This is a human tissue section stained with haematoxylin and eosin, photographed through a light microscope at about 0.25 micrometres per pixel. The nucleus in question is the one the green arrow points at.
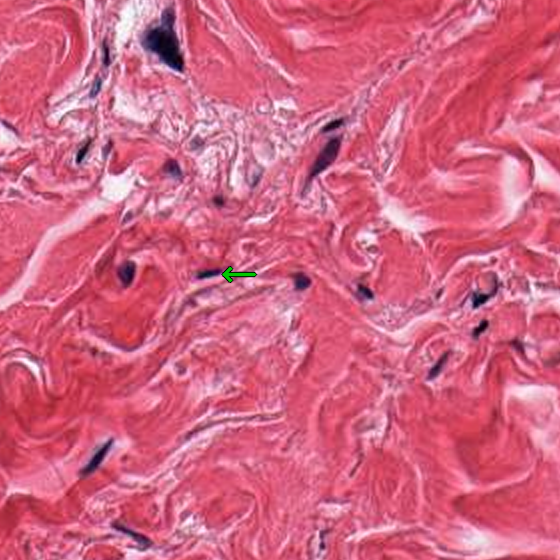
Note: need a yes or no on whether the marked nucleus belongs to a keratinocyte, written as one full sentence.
No, the marked nucleus is the nucleus of a supporting cell rather than of a keratinocyte.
